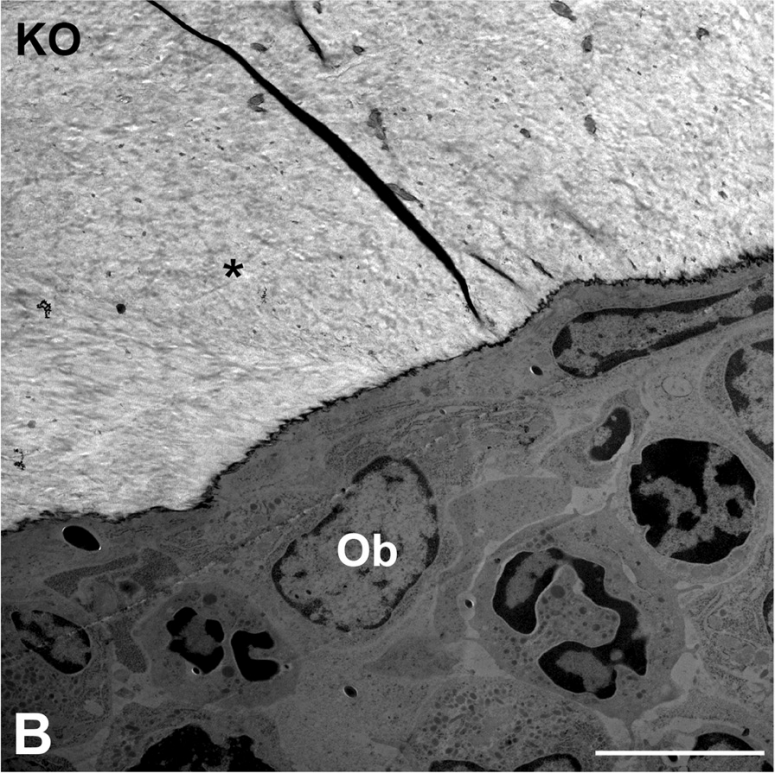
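This electron micrograph shows a bone surface lined by cells. Pale, finely textured bone matrix fills the upper left, and a long dark crack runs through it. The matrix meets the cell layer at a sharp boundary fringed with small dark projections, with no distinct intervening band. The cell lying against the matrix has a large oval nucleus with clumped chromatin along its edge and grey cytoplasm containing small vesicles. Deeper, further cells have strongly lobed nuclei that are packed with very dark, dense chromatin.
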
